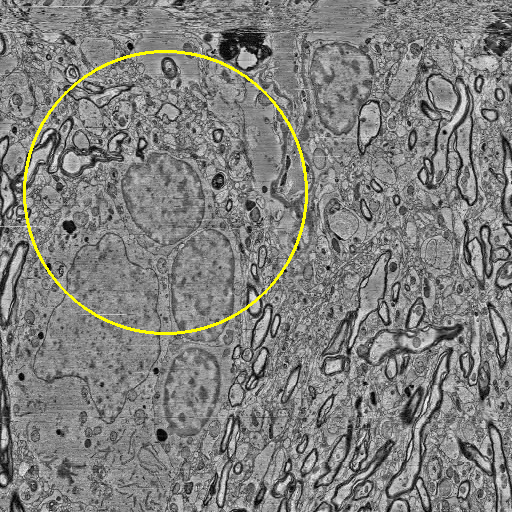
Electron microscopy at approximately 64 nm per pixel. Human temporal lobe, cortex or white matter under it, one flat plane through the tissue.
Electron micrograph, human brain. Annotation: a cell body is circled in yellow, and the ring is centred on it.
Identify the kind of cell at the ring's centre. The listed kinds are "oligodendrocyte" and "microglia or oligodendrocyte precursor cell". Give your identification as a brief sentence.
The circled cell body is that of an oligodendrocyte.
